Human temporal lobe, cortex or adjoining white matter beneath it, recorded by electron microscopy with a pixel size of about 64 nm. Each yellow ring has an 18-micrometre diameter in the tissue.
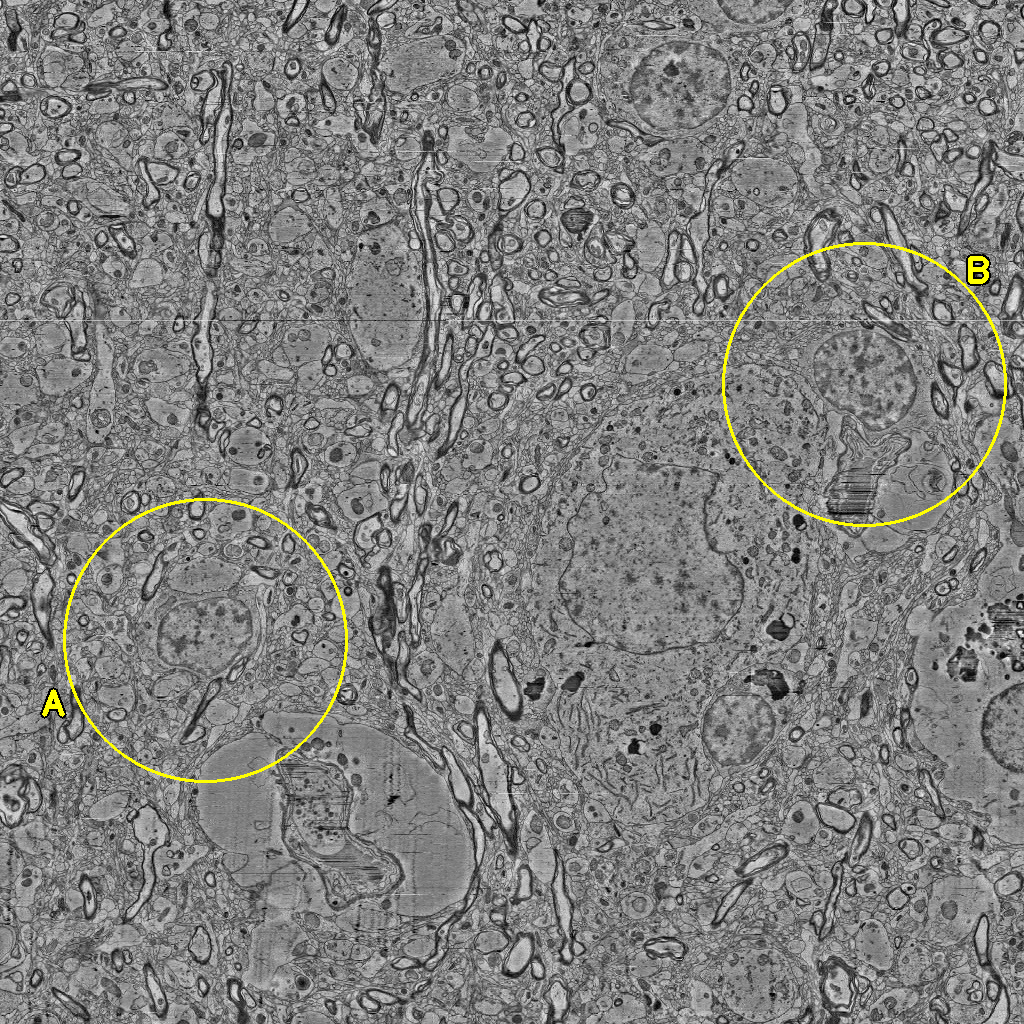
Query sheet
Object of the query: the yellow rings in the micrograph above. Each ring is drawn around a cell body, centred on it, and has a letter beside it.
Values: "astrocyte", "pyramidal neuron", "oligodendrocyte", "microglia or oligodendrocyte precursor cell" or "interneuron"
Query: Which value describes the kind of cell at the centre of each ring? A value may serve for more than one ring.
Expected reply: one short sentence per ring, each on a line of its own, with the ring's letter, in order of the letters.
I assign an oligodendrocyte to ring A.
I assign an oligodendrocyte to ring B.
